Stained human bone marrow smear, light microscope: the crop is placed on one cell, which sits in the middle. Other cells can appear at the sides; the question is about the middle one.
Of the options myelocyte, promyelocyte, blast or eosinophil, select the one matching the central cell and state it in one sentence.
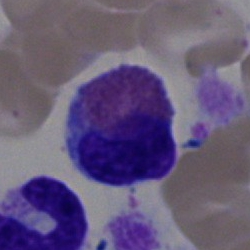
Whatever else lies nearby, the middle cell is an eosinophil.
